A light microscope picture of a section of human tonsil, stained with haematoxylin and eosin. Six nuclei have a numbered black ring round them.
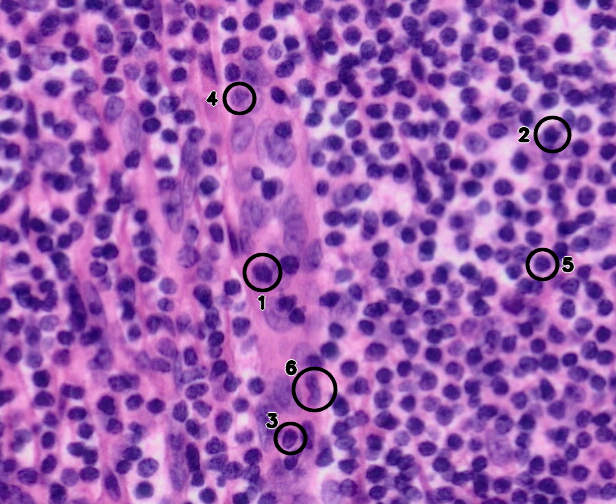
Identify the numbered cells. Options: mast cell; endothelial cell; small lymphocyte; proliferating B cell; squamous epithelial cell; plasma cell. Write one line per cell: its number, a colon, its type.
1: endothelial cell
2: small lymphocyte
3: endothelial cell
4: endothelial cell
5: small lymphocyte
6: endothelial cell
